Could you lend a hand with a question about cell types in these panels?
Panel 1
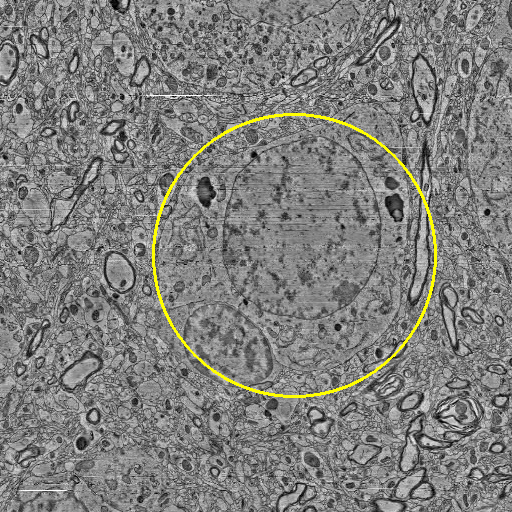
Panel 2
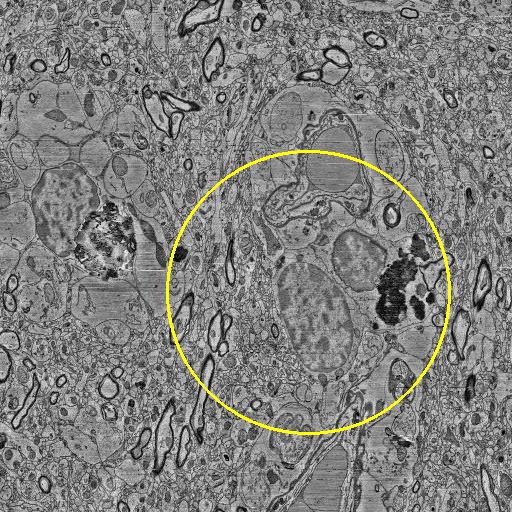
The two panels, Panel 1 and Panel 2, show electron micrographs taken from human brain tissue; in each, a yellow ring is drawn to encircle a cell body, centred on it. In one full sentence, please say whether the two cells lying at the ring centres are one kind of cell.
No, the cells at the ring centres in the two panels are two kinds of cell.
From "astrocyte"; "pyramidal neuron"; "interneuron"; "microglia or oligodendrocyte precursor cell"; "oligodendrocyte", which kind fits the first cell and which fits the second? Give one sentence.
The cell marked in the first picture is a pyramidal neuron, and the one marked in the second is an oligodendrocyte.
